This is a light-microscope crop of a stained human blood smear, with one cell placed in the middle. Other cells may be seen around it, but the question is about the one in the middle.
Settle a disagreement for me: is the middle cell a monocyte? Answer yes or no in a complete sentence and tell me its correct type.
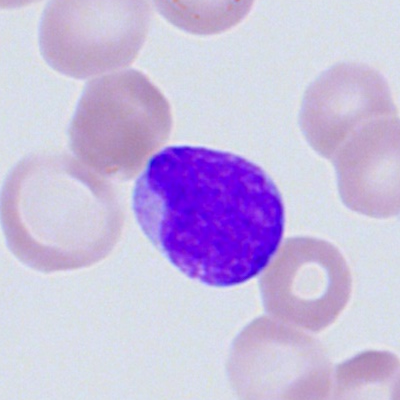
No, the cell in the middle is correctly named a blast, not a monocyte.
